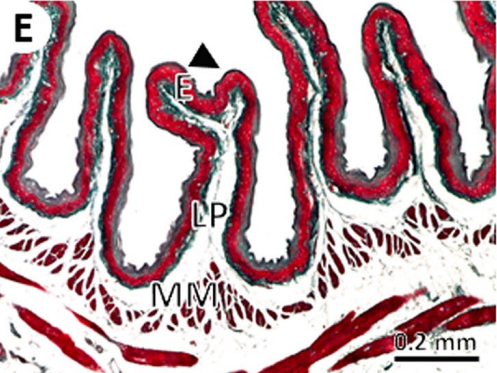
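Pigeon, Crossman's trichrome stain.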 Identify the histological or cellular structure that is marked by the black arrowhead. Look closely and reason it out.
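The arrowhead marks a small fold arising at the top of a larger fold. The small fold has a thin connective-tissue core under red epithelium.
Answer: secondary mucosal folds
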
